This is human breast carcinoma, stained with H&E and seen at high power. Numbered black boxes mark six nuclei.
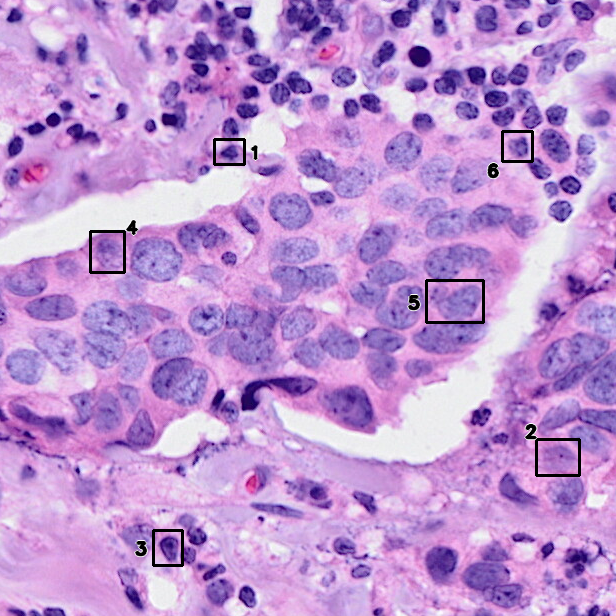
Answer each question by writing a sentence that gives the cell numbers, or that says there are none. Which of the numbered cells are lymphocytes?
Marked by the numbers 1, 3 and 6 are cells that are lymphocytes.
